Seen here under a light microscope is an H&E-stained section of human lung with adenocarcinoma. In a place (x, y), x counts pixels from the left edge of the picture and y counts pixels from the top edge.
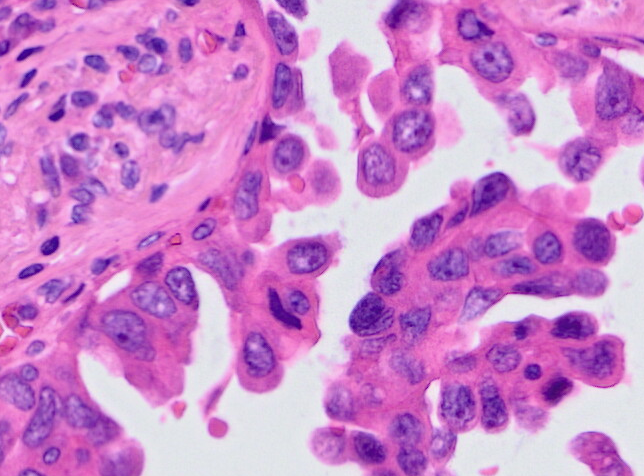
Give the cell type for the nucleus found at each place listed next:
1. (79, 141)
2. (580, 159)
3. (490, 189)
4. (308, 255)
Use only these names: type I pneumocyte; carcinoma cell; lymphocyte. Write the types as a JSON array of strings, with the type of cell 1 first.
["lymphocyte", "carcinoma cell", "carcinoma cell", "carcinoma cell"]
